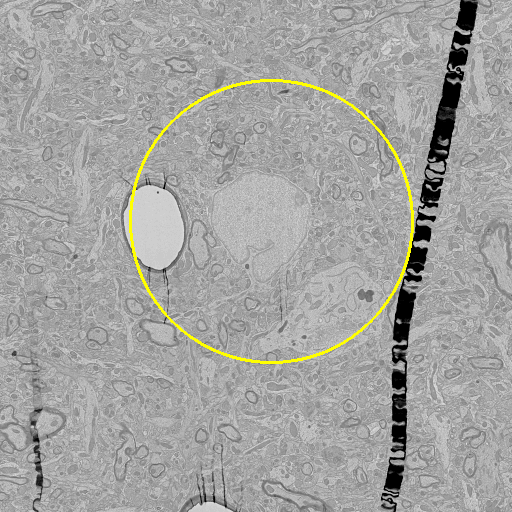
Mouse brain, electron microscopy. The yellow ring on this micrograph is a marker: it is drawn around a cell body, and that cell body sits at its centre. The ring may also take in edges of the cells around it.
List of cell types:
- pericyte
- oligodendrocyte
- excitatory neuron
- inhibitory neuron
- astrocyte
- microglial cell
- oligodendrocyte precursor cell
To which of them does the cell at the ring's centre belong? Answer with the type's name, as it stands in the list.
oligodendrocyte precursor cell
